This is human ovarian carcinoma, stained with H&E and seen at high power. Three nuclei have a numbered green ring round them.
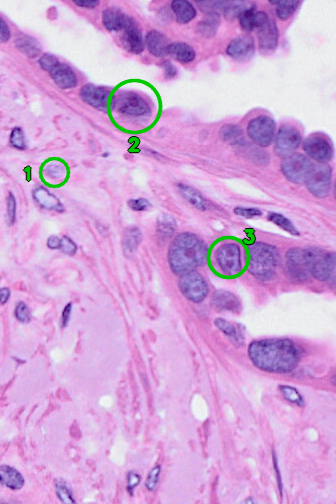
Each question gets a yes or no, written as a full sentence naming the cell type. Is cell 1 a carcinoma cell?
No, the cell tagged 1 is a fibroblast, and not a carcinoma cell.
